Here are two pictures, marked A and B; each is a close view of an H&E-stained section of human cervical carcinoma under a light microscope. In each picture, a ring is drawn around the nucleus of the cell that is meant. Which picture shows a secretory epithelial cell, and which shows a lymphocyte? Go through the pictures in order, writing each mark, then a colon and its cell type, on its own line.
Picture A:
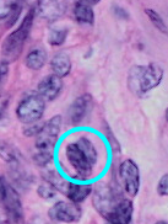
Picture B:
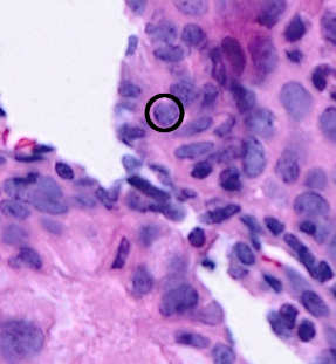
A: lymphocyte
B: secretory epithelial cell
